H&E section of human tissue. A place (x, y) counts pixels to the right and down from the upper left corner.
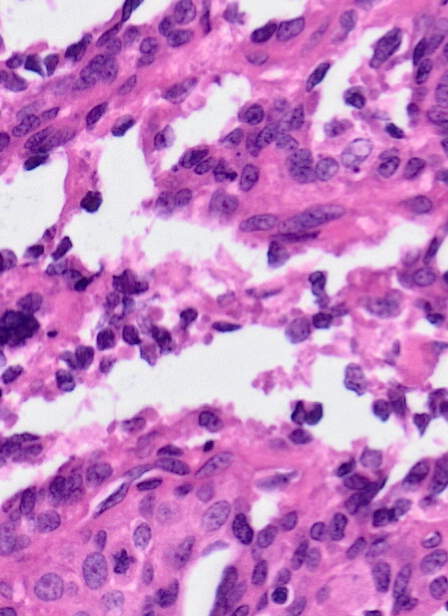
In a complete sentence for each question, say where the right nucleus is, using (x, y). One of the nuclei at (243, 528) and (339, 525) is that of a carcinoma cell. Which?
The nucleus positioned at (243, 528) is the one that belongs to a carcinoma cell.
